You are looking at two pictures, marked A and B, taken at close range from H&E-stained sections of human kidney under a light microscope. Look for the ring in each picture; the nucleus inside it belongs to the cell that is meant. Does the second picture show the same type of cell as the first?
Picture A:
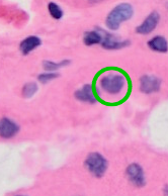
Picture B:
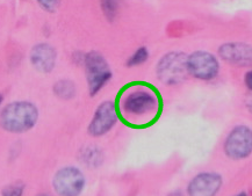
no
